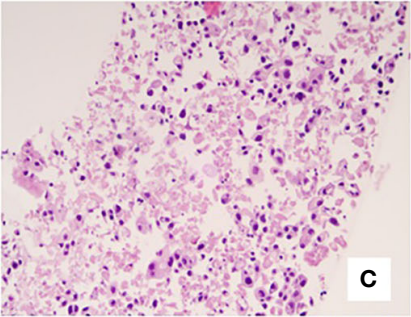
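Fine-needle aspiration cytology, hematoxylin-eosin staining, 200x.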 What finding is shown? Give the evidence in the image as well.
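Large hyperchromatic nuclei. Many nuclei stain deep purple. Several nuclei are large relative to the surrounding cells.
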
